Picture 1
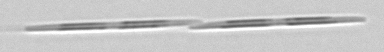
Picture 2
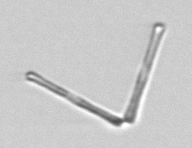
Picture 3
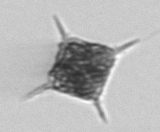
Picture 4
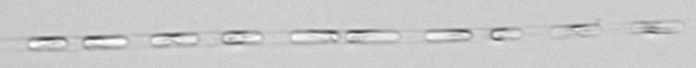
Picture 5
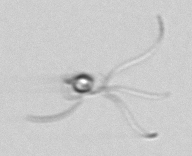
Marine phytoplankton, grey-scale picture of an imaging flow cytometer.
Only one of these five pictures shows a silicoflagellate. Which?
Picture 3.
